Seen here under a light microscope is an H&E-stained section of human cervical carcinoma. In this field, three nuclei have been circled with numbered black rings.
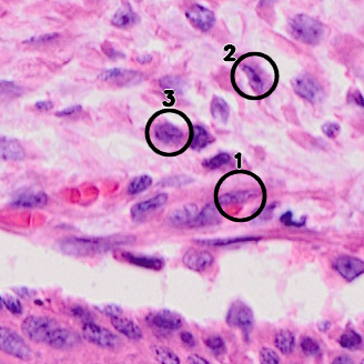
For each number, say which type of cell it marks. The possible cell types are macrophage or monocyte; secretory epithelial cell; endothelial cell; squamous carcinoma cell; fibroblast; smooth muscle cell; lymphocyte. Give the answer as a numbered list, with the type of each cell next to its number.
1. endothelial cell
2. fibroblast
3. macrophage or monocyte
